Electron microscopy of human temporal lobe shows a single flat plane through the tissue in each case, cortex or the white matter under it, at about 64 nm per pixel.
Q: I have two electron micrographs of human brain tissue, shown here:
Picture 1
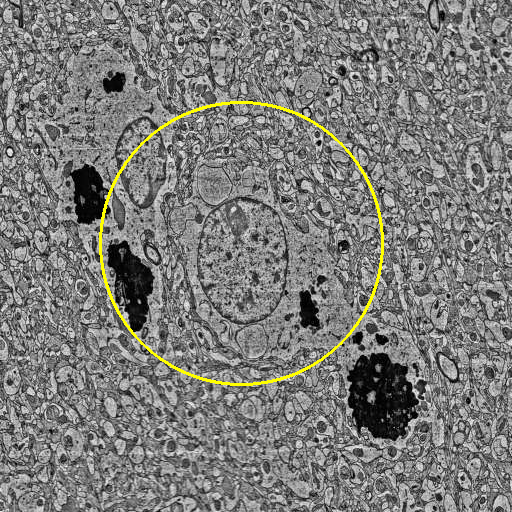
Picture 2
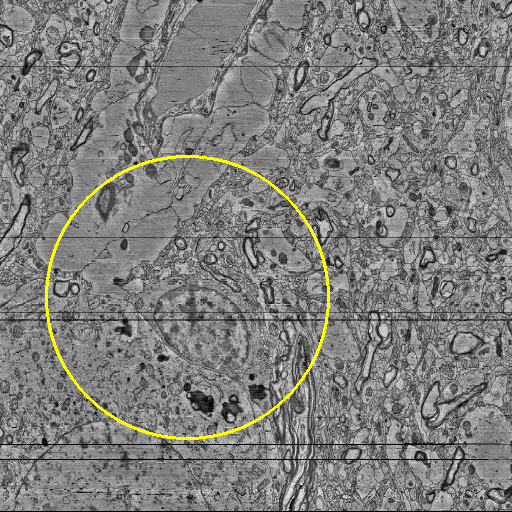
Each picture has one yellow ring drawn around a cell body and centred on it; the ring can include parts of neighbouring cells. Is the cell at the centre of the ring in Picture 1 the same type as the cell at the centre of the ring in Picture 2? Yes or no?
no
